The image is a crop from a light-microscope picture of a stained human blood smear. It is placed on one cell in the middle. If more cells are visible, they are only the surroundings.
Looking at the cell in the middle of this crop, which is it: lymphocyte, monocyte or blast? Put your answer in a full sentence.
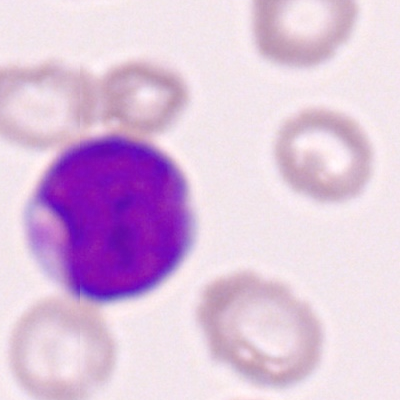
The cell at the middle of the crop is recognized as a blast.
